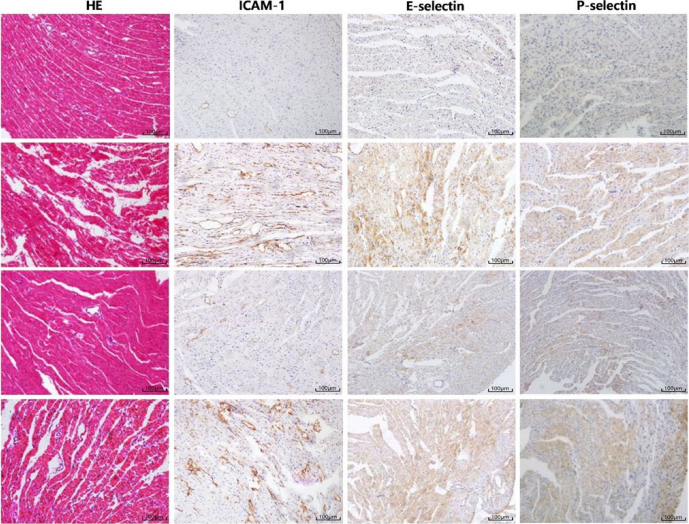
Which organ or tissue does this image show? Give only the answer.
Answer: Cardiac tissues.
